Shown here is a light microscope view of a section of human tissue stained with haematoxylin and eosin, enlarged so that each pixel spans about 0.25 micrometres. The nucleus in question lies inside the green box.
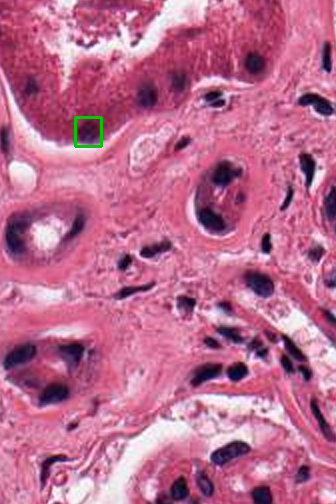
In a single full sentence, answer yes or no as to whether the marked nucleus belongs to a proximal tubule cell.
Yes, belonging to a proximal tubule cell is the marked nucleus.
